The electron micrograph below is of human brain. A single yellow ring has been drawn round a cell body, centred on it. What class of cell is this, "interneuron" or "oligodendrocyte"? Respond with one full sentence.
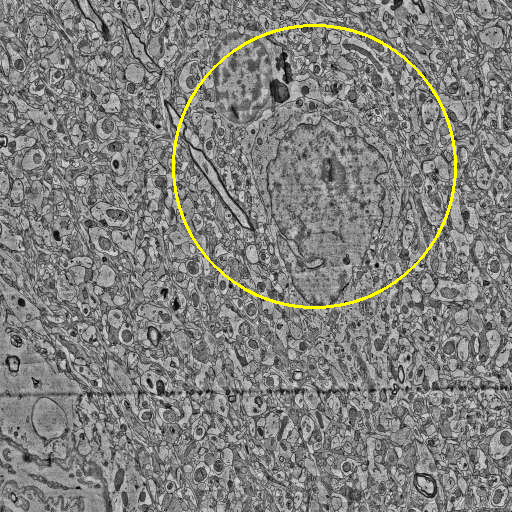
In the micrograph, the cell centred inside the yellow ring is an interneuron.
